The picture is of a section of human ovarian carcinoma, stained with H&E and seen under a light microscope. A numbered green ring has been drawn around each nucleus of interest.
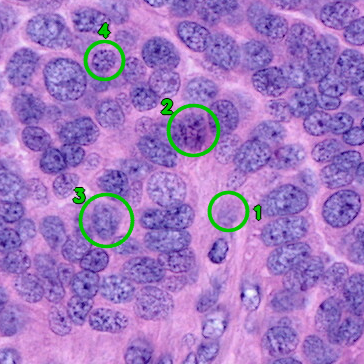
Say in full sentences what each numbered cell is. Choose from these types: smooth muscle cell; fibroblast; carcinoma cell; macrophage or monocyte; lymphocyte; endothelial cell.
Cell 1 is a fibroblast. Cells 2, 3 and 4 are carcinoma cells.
